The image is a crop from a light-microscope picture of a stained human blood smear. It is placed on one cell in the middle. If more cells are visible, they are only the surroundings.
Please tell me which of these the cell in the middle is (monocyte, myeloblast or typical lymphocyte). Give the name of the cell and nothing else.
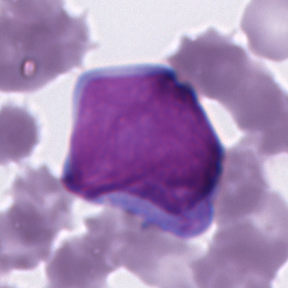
myeloblast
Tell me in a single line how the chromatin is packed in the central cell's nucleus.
Chromatin texture is fine, and coarse clumps are absent.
